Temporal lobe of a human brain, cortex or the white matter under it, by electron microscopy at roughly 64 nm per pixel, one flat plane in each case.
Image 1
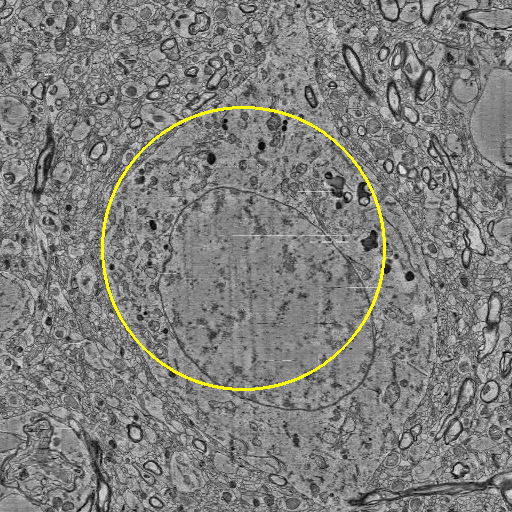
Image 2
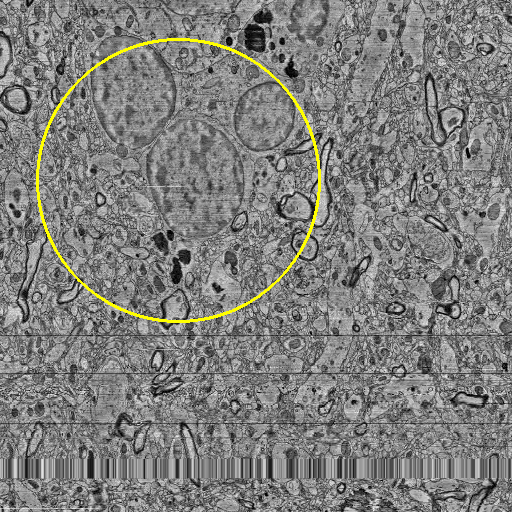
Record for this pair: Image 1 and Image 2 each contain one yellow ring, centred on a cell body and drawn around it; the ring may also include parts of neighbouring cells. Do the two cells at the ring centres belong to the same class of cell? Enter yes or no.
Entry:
no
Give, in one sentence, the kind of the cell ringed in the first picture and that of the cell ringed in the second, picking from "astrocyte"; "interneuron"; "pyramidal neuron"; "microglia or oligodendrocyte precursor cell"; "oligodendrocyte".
For the first picture it is a pyramidal neuron; for the second, an oligodendrocyte.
